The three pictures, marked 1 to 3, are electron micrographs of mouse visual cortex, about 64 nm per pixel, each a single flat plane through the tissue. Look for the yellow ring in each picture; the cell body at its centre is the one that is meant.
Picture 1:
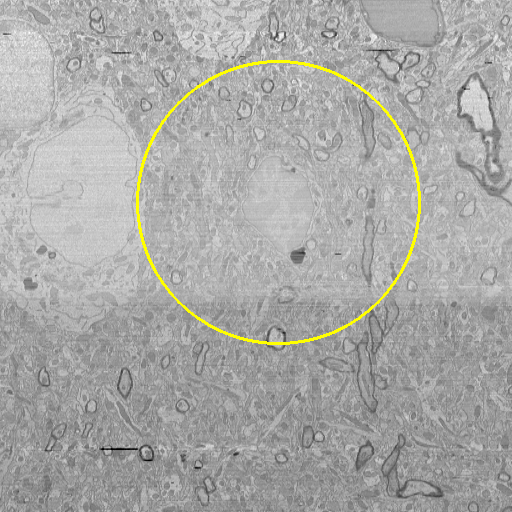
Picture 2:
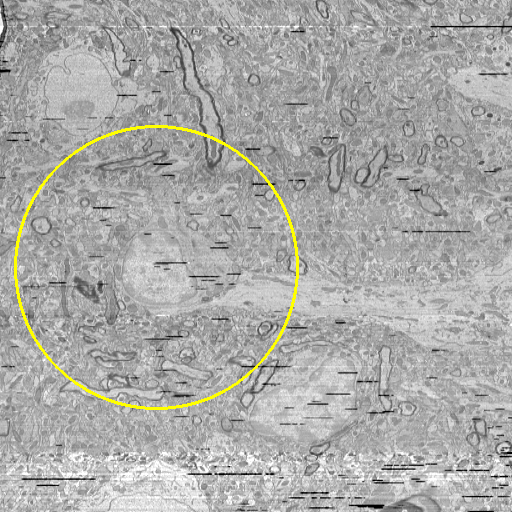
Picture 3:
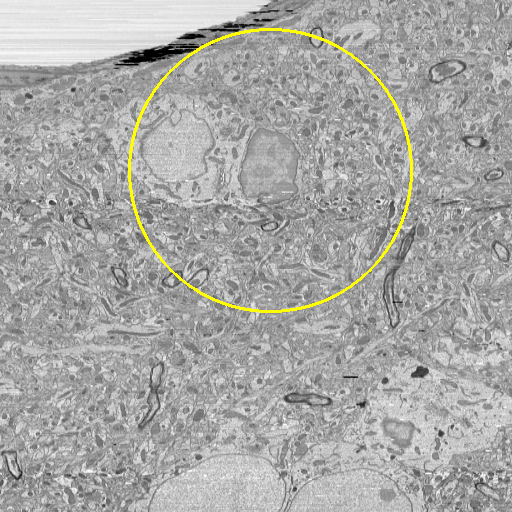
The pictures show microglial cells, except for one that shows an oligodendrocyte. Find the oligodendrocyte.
Picture 2 shows the oligodendrocyte.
